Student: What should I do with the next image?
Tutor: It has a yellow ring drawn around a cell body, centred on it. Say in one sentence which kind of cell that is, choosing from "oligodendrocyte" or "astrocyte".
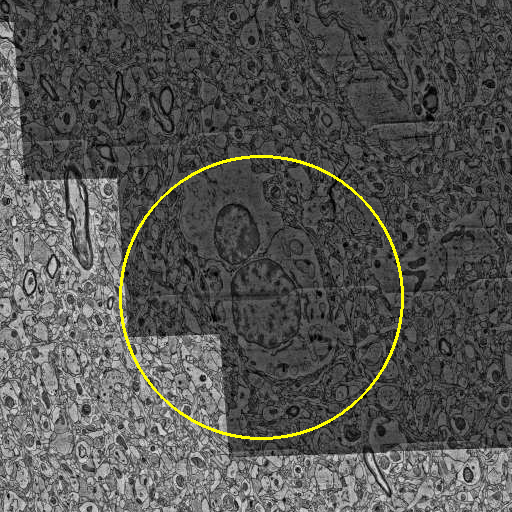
The ring's centre is occupied by an astrocyte.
